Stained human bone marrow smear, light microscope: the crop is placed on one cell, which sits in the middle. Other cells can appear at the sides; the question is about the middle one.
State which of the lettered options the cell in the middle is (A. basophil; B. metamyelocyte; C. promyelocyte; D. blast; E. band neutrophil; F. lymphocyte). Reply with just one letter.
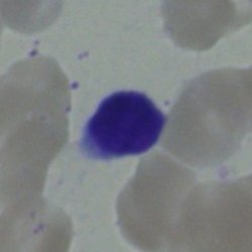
F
